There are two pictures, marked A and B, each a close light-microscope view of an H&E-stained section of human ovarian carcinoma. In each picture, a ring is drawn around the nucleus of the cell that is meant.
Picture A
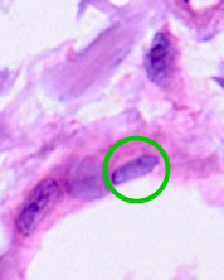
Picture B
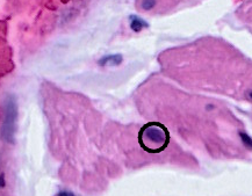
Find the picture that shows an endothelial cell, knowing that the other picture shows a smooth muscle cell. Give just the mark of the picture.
A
